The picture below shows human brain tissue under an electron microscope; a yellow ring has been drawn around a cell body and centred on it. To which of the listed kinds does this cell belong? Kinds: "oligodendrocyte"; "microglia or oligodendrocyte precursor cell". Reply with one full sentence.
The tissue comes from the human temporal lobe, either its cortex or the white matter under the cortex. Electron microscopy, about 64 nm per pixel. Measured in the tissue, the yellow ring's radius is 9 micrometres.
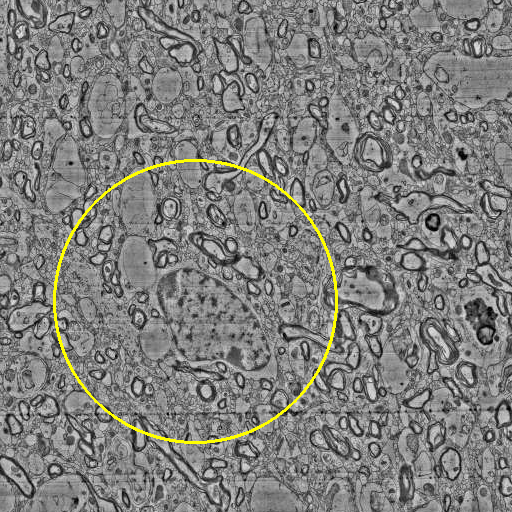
It is a microglial cell or oligodendrocyte precursor cell that the yellow ring in the picture is centred on.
